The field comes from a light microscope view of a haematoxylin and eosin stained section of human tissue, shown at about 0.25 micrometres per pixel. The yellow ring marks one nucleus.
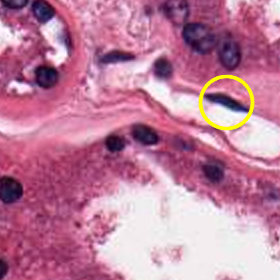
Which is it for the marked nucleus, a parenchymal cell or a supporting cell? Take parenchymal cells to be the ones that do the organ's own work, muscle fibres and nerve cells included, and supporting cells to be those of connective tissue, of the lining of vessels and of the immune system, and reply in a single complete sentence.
Within this section, the marked nucleus belongs to a supporting cell.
